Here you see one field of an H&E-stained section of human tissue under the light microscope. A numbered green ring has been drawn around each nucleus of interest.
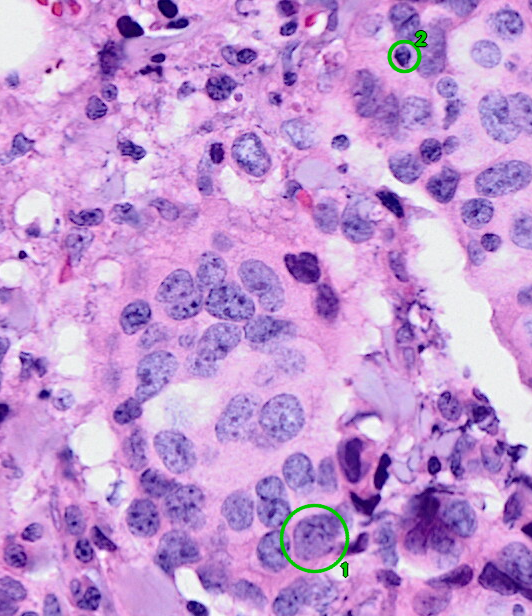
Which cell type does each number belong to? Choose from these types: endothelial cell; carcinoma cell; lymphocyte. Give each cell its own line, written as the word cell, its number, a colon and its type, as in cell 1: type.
cell 1: carcinoma cell
cell 2: lymphocyte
